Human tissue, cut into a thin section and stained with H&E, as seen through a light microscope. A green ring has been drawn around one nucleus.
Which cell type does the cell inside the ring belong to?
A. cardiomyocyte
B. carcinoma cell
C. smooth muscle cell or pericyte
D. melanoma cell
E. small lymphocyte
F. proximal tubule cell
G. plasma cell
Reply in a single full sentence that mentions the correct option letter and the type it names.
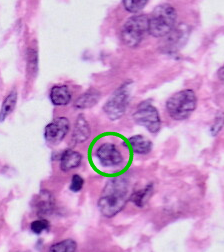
Option D properly identifies the cell inside the ring as a melanoma cell.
